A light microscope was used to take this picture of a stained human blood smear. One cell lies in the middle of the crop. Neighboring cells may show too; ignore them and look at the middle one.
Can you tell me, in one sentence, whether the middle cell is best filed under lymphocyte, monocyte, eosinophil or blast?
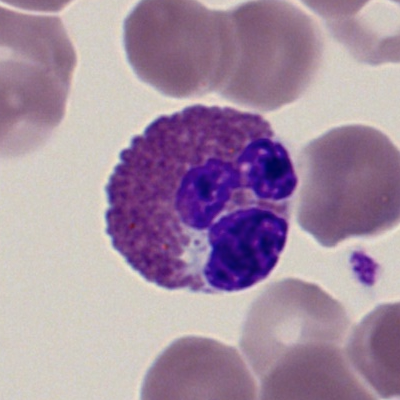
The cell the crop is centered on is an eosinophil.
